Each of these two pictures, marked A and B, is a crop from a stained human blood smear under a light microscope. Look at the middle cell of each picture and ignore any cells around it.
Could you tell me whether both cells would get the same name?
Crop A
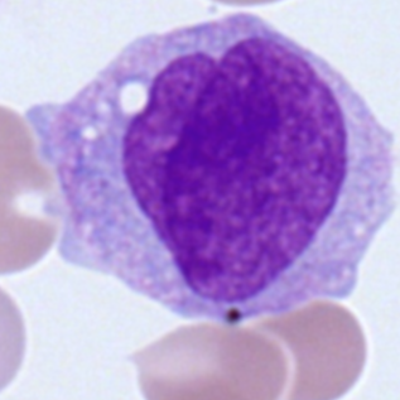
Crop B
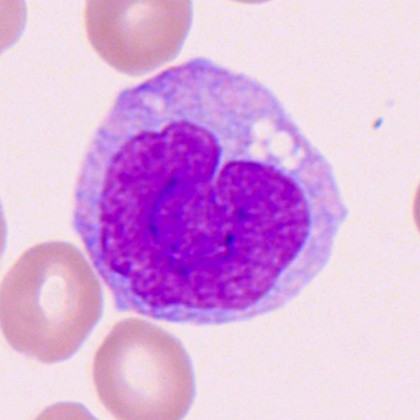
yes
